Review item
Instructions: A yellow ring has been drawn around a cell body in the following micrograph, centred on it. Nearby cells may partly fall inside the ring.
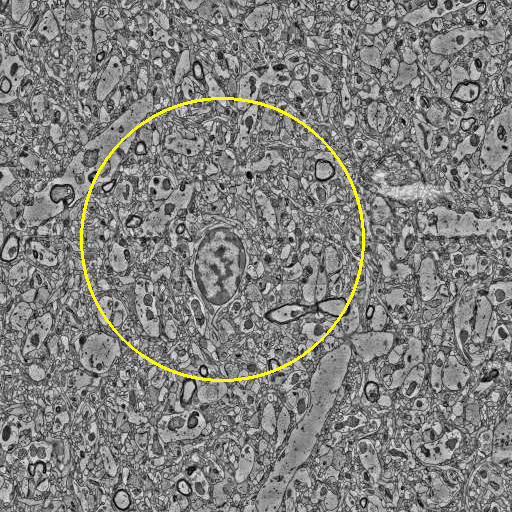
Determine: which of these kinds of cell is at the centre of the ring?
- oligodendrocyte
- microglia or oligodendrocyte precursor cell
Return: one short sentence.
The cell body in the middle of the ring is that of a microglial cell or oligodendrocyte precursor cell.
